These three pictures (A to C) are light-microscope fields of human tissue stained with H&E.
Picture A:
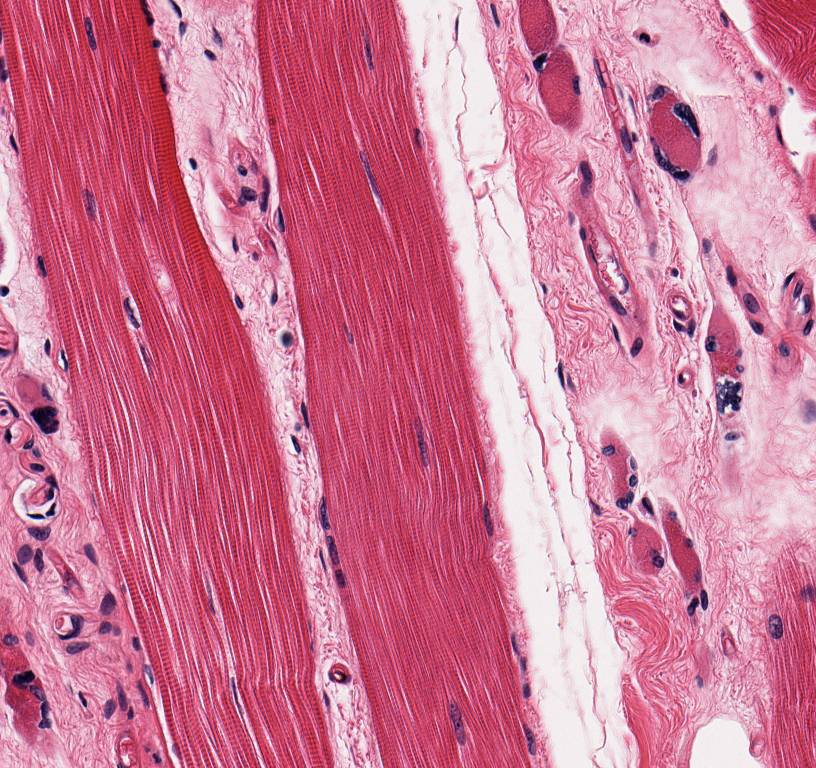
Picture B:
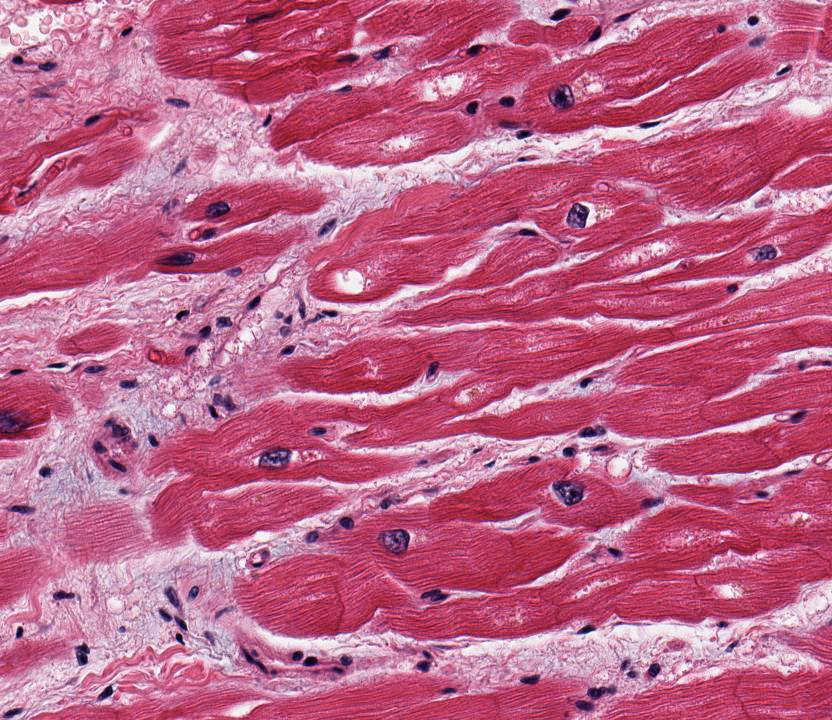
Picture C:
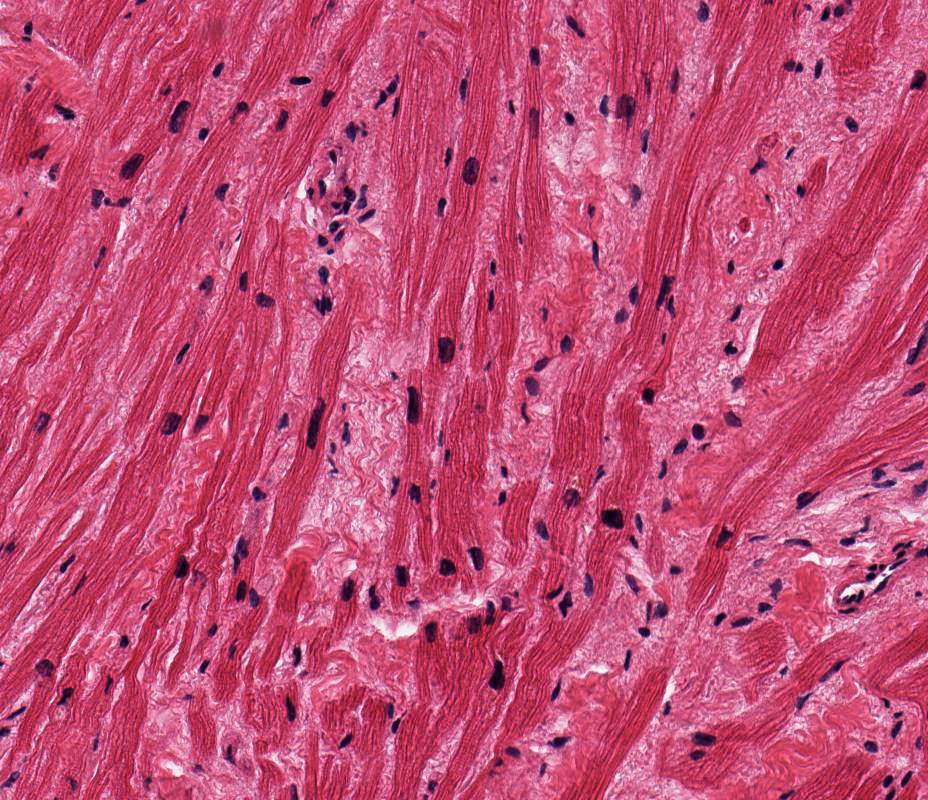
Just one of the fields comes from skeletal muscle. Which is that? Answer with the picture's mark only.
A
